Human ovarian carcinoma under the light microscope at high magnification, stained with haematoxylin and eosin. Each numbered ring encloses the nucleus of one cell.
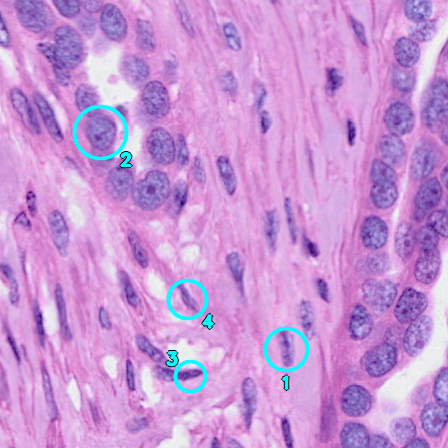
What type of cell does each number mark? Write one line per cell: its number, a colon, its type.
1: fibroblast
2: carcinoma cell
3: fibroblast
4: fibroblast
